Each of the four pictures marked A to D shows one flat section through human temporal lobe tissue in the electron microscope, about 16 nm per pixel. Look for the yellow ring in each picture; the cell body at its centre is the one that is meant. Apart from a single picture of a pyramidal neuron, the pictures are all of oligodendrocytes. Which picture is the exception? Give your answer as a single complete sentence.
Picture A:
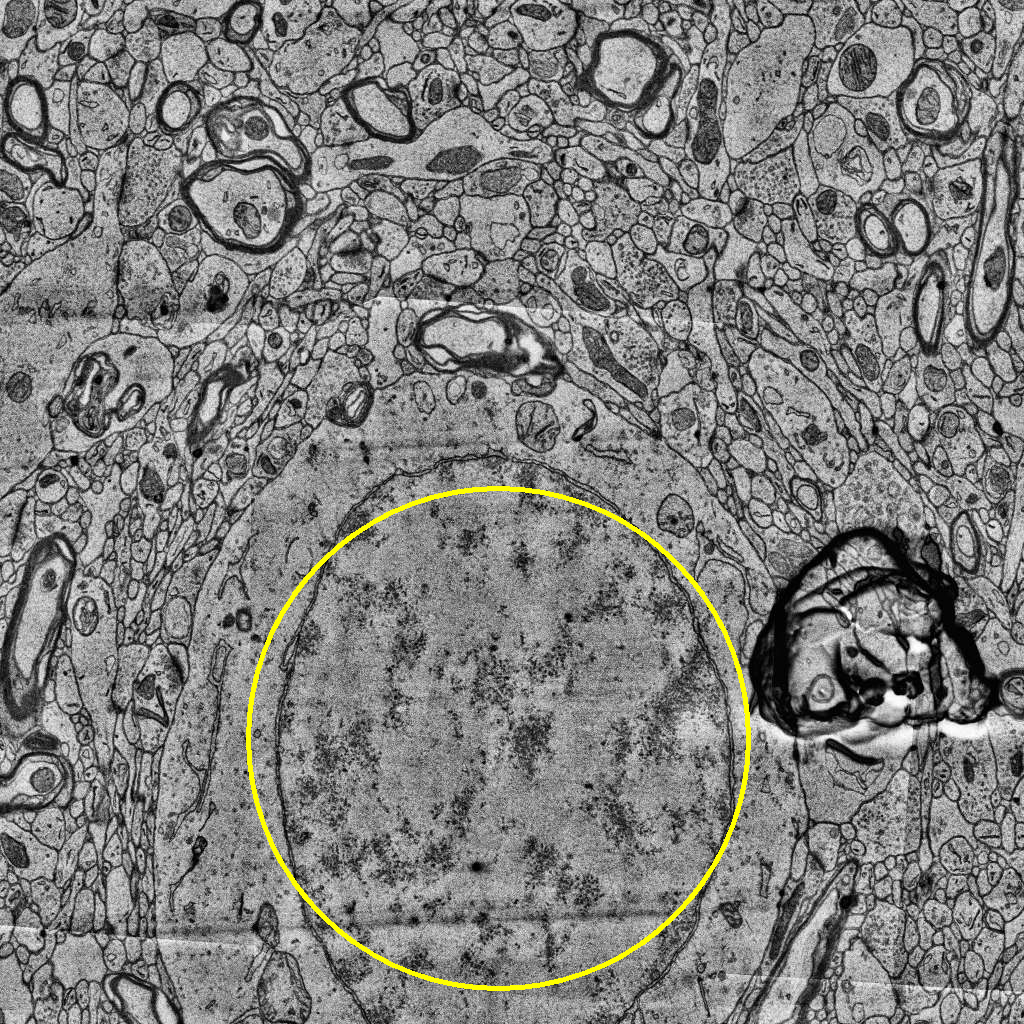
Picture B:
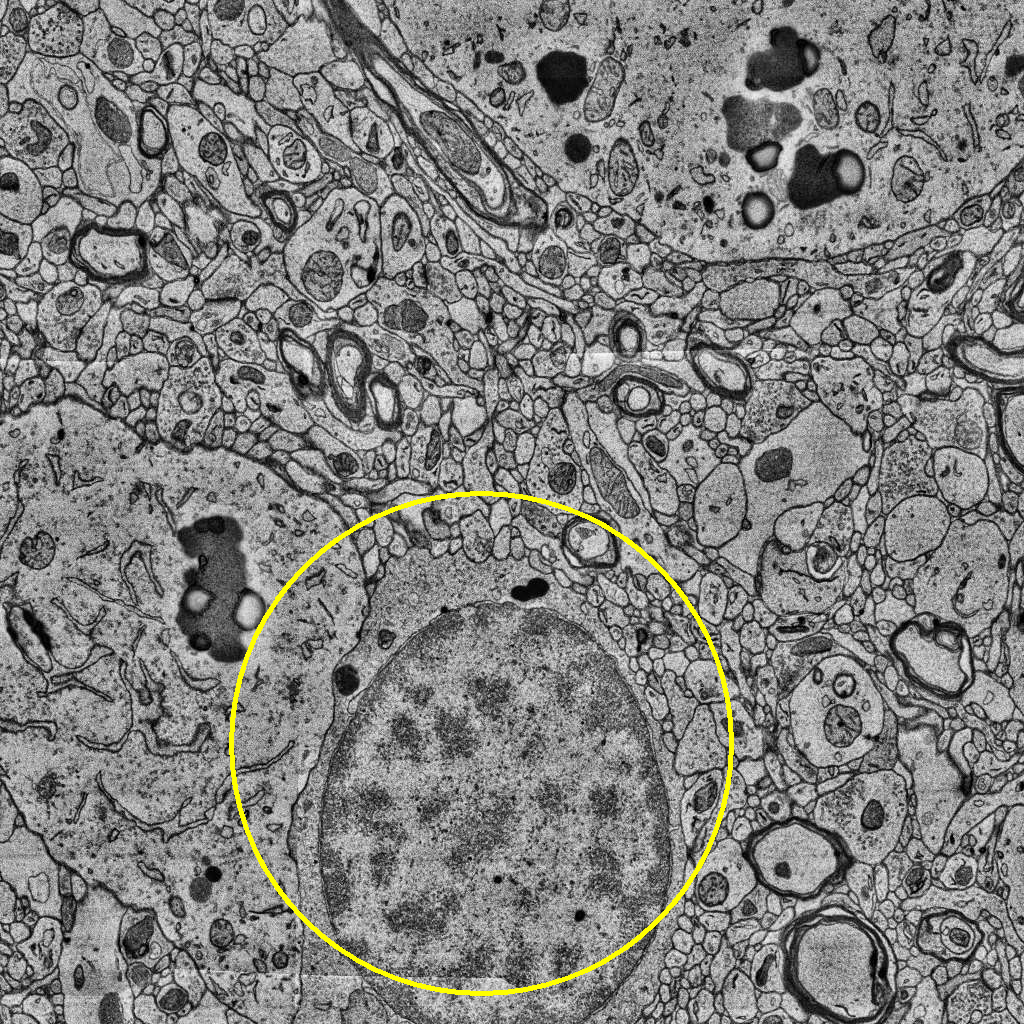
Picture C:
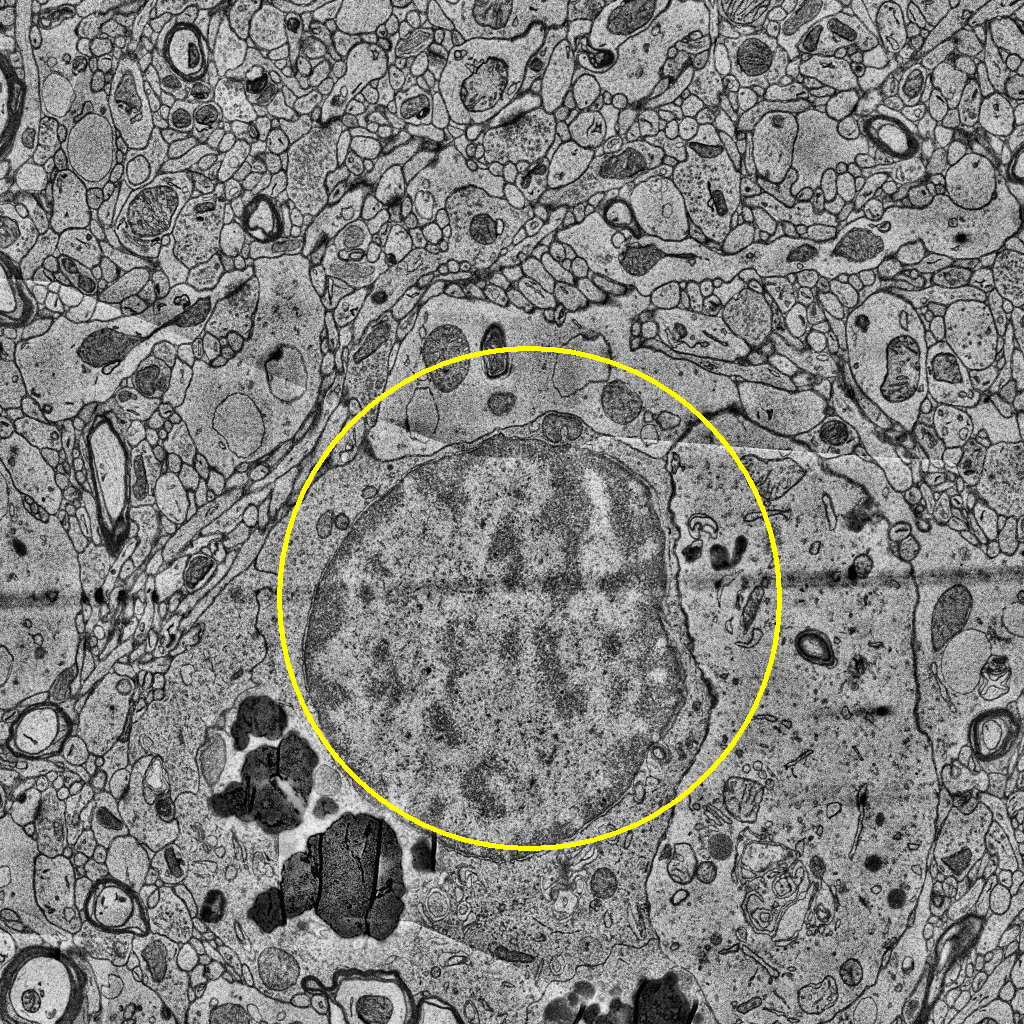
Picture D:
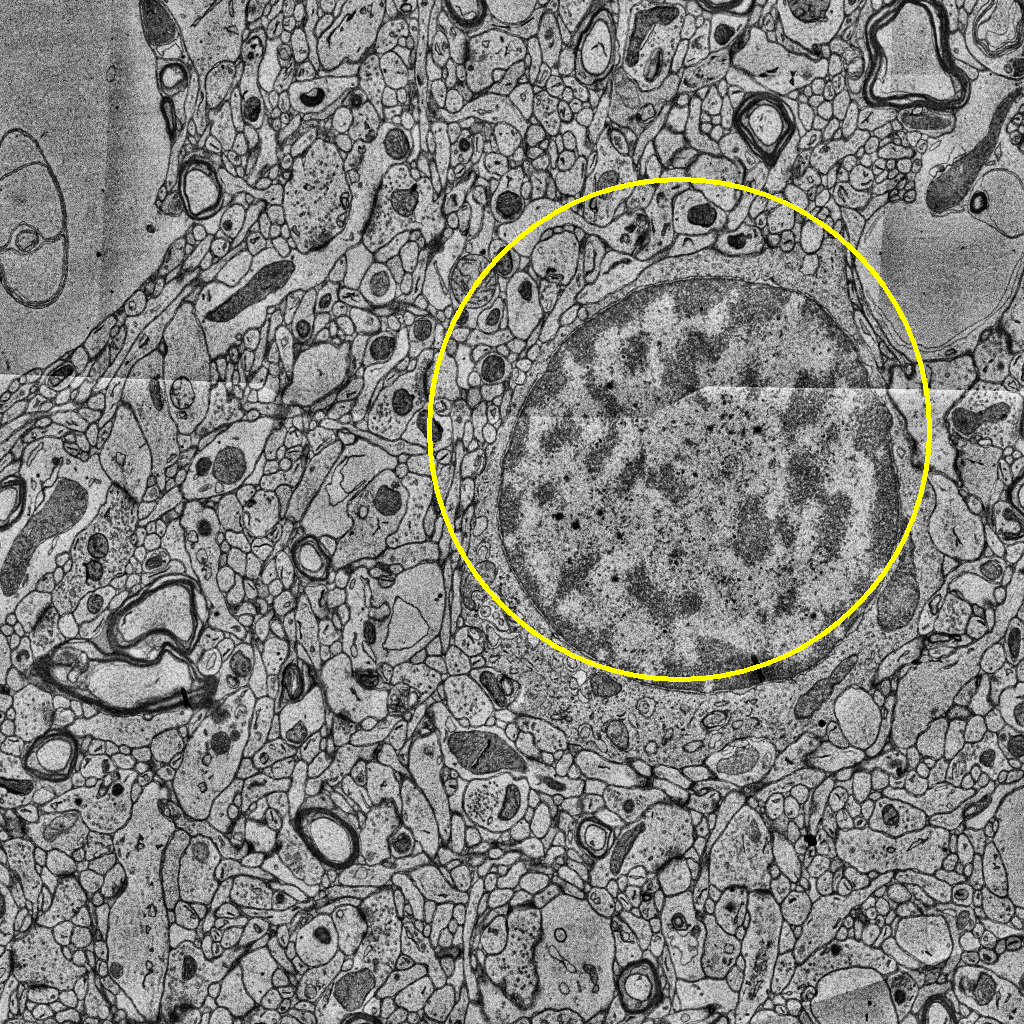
It is picture A that shows the pyramidal neuron.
